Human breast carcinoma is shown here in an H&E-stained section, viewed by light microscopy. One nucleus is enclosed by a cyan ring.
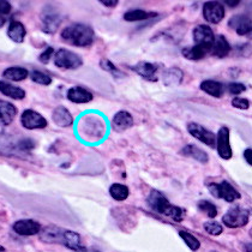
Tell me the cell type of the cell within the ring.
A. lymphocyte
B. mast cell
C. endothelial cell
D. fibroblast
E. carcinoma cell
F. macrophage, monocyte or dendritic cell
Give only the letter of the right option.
F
